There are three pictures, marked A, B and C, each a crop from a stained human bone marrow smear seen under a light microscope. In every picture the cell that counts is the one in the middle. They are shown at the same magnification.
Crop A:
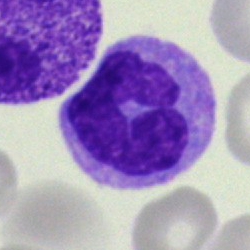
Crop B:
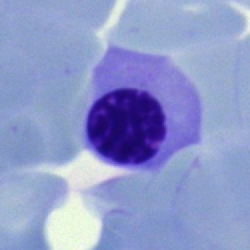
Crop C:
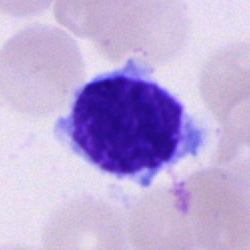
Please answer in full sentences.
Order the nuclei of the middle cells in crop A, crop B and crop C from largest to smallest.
Largest first: A, C, B.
